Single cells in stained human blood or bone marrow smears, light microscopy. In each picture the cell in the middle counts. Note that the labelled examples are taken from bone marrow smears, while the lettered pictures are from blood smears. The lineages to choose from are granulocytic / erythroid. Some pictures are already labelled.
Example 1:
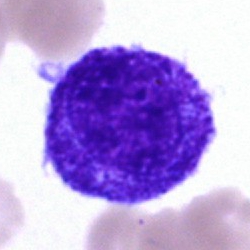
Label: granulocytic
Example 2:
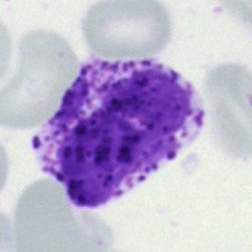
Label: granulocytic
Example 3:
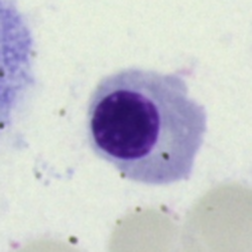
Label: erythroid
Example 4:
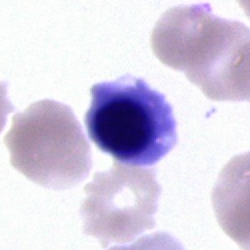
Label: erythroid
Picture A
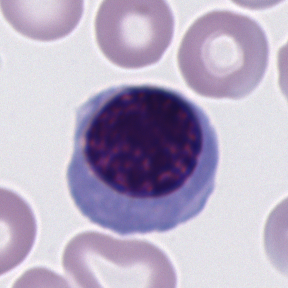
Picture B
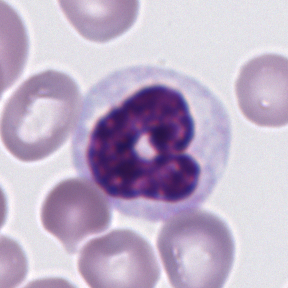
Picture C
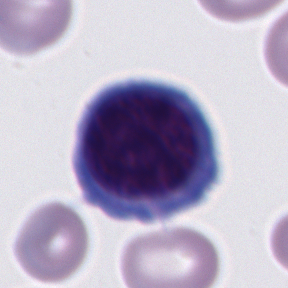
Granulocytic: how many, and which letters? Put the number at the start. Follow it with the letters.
1: B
